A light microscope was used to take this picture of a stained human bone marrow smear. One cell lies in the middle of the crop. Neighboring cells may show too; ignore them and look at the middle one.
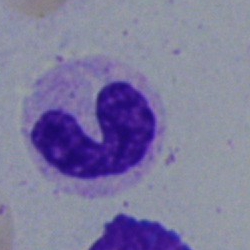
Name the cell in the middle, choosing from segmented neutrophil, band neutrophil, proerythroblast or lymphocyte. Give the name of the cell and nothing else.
band neutrophil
